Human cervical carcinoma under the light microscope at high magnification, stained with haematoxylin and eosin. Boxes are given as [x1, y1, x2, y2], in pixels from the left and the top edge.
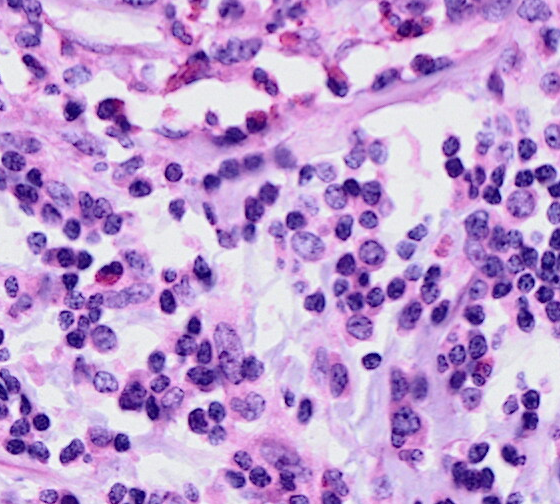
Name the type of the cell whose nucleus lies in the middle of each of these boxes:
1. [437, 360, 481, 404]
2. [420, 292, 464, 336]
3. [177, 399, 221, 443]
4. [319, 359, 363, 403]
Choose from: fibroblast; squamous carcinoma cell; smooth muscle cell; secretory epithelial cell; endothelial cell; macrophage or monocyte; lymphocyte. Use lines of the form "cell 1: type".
cell 1: lymphocyte
cell 2: lymphocyte
cell 3: lymphocyte
cell 4: macrophage or monocyte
